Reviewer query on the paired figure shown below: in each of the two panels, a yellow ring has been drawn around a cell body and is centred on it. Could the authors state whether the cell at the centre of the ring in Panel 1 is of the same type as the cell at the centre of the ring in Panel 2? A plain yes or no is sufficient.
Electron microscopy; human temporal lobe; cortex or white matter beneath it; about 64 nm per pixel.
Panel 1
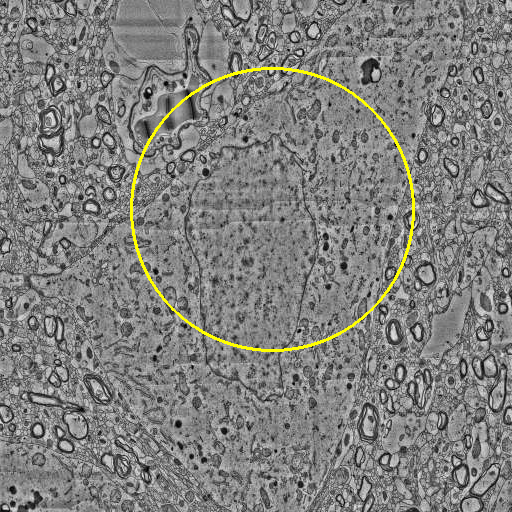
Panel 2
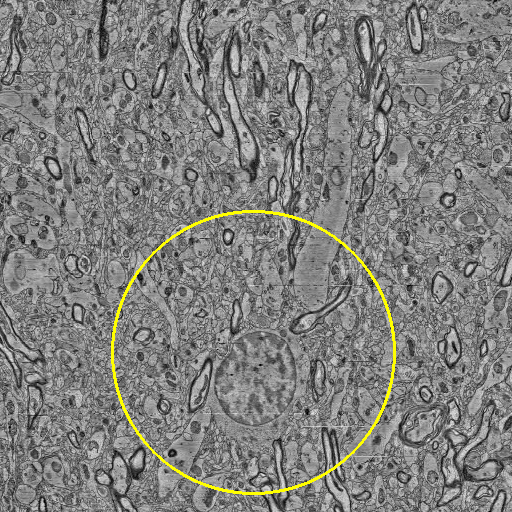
no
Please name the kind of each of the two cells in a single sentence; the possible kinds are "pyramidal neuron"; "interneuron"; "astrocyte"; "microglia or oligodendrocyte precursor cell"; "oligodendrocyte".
In the first picture the ring is centred on a pyramidal neuron, and in the second on an oligodendrocyte.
